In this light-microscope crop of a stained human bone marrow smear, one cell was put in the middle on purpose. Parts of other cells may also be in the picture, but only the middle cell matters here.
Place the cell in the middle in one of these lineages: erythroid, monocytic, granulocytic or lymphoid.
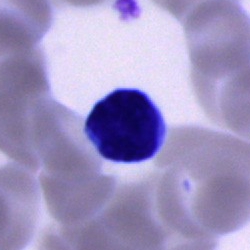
lymphoid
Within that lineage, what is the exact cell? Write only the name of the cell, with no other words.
lymphocyte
